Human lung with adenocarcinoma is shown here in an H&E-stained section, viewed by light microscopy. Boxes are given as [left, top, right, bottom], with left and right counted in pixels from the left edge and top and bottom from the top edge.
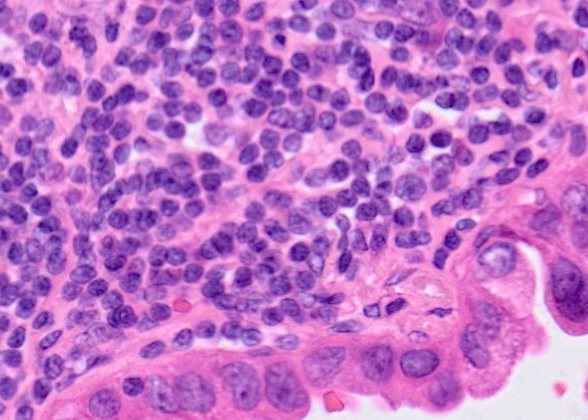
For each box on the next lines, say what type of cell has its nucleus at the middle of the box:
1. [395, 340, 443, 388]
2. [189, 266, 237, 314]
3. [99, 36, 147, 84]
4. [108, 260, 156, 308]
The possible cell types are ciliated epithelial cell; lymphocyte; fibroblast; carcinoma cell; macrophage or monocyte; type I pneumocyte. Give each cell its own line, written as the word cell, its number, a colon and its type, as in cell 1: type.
cell 1: carcinoma cell
cell 2: lymphocyte
cell 3: lymphocyte
cell 4: lymphocyte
